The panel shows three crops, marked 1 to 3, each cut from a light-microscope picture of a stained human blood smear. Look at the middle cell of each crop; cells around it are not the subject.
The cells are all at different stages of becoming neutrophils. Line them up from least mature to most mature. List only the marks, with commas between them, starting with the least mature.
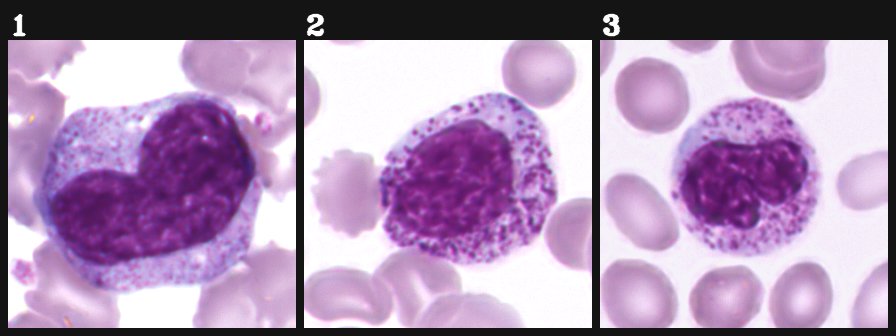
1, 2, 3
